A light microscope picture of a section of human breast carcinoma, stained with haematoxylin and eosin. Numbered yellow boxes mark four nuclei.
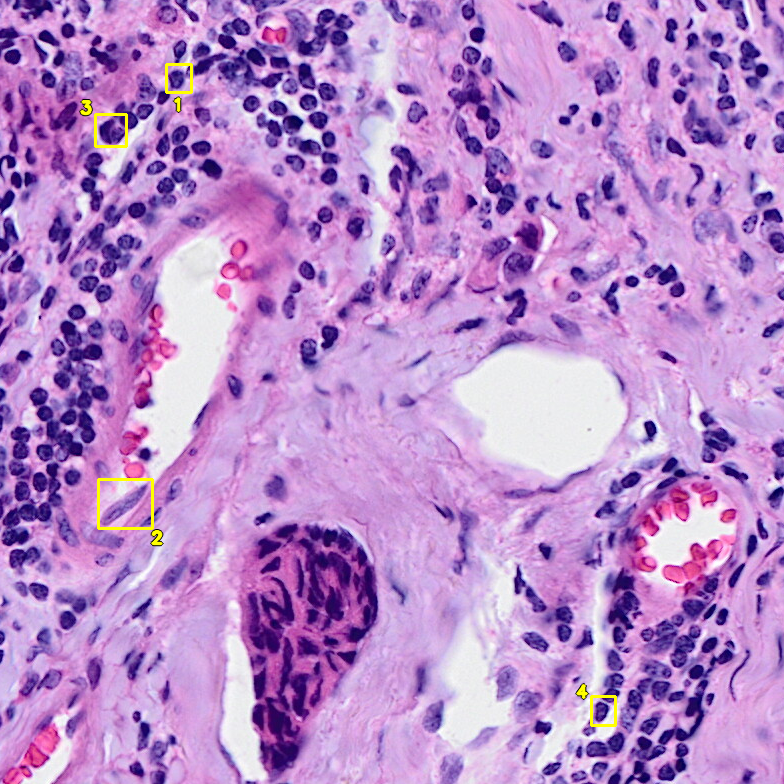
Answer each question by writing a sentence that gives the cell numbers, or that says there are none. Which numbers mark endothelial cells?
Only the cell at mark 2 is an endothelial cell, and no other marked cell is.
